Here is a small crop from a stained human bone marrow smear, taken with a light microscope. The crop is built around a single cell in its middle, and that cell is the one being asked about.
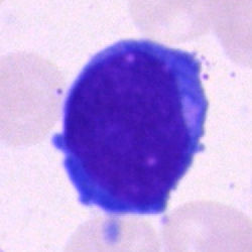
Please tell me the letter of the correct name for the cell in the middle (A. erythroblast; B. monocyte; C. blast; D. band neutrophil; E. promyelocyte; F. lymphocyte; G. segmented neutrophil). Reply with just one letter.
C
